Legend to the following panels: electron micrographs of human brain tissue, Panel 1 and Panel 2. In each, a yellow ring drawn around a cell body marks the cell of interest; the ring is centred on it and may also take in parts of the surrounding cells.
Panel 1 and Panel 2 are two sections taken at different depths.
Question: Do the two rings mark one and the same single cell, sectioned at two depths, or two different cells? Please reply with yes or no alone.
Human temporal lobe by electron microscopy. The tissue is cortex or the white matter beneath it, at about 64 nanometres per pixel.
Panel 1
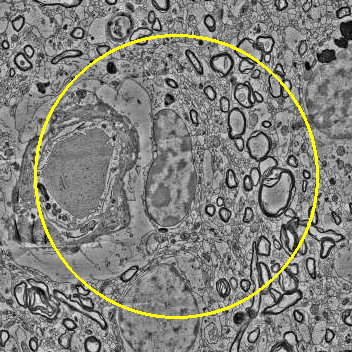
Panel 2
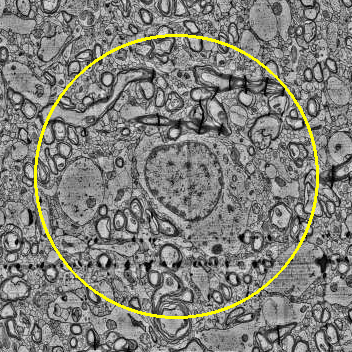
no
